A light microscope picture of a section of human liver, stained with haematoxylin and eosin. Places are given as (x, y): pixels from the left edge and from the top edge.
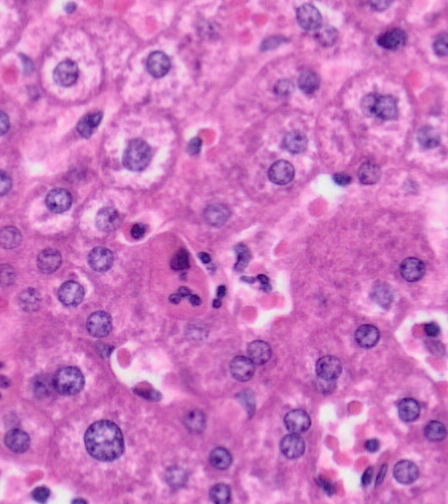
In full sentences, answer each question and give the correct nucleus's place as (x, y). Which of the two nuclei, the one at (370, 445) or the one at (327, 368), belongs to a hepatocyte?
The cell to which the nucleus at (327, 368) belongs is a hepatocyte.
